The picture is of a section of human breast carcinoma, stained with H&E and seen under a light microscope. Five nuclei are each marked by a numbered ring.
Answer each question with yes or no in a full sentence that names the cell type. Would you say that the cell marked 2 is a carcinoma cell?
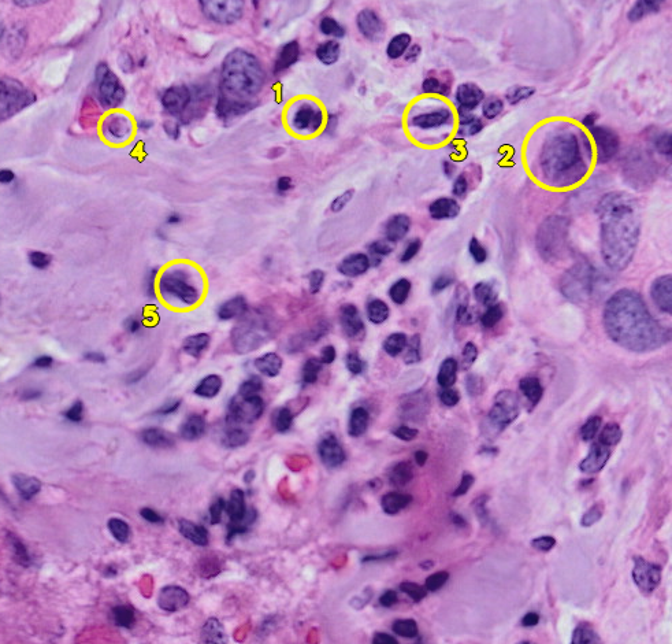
Yes, the cell labelled with number 2 is a carcinoma cell.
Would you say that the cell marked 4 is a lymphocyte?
No, the cell denoted 4 is an endothelial cell rather than a lymphocyte.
